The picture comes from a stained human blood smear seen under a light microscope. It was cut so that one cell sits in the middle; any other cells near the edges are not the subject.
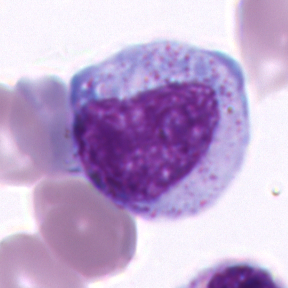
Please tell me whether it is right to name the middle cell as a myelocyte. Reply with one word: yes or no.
no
